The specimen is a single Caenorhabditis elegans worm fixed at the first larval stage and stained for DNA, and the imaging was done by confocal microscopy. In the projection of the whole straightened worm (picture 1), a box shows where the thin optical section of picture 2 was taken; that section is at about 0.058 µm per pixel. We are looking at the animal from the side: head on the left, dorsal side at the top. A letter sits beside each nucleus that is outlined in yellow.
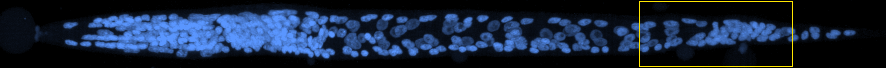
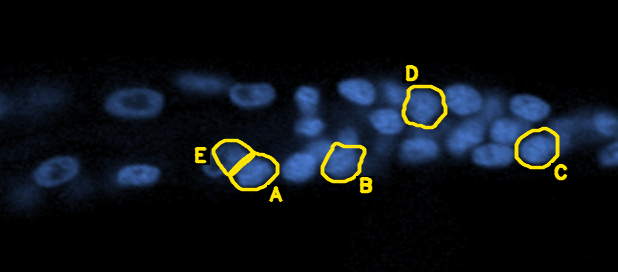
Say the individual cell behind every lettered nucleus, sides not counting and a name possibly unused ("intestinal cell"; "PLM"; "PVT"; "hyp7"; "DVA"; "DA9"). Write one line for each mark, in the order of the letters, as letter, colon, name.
A: PVT
B: DA9
C: PLM
D: DVA
E: intestinal cell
